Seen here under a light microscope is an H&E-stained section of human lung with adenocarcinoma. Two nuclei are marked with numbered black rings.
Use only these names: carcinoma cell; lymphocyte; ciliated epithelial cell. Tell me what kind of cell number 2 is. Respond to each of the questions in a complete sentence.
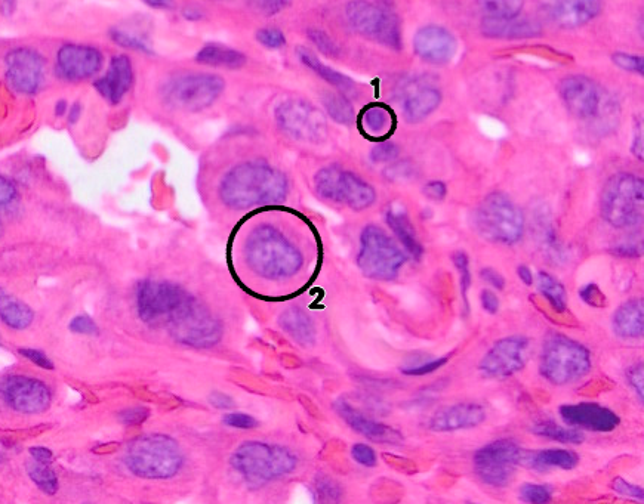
Among the marked cells, number 2 is a carcinoma cell.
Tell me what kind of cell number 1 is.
Among the marked cells, number 1 is a lymphocyte.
